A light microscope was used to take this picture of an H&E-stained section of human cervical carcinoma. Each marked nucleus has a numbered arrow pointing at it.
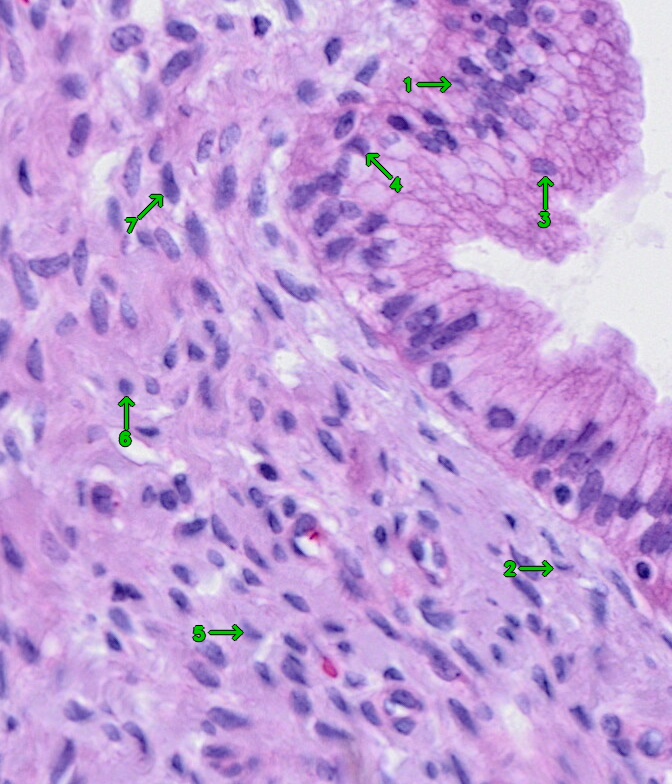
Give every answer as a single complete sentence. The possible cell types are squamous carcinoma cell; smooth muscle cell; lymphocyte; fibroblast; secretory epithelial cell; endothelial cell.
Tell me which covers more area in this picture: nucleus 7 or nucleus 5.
It is nucleus 7, which covers about 2 times the area of nucleus 5.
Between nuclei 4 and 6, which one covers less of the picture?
Number 6 is smaller, since number 4 takes up about 1.5 times as much area.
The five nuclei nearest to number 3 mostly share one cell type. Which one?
Of the five nuclei nearest to number 3, most belong to secretory epithelial cells.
